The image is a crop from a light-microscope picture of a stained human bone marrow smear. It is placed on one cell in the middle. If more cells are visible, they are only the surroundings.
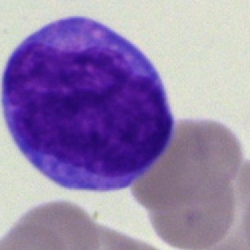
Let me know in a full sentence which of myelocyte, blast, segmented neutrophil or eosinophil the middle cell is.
The cell shown in the center of this light-microscope crop is a blast.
